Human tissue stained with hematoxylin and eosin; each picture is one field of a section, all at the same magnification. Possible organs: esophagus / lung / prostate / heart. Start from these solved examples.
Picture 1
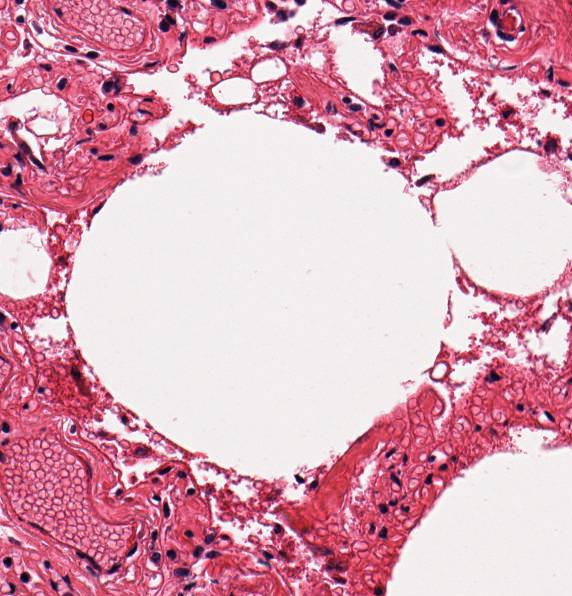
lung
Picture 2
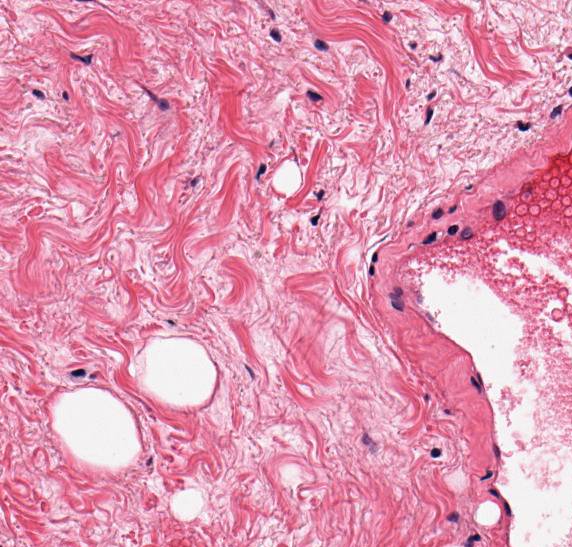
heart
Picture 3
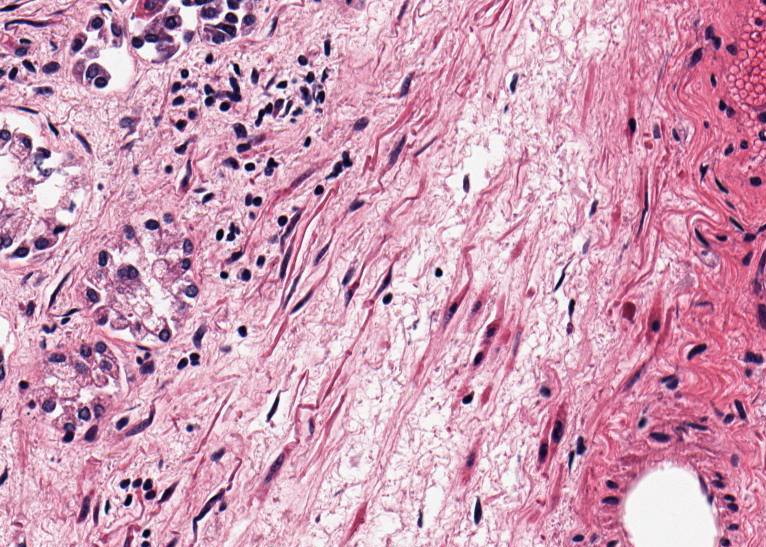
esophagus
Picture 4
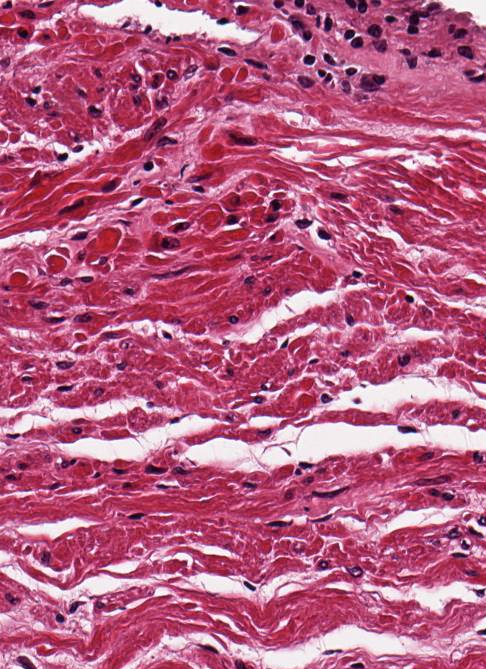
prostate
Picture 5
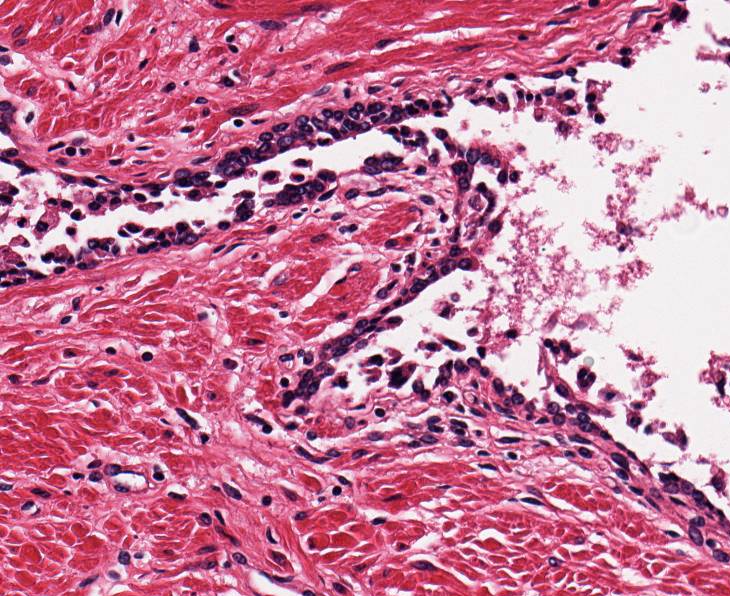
prostate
